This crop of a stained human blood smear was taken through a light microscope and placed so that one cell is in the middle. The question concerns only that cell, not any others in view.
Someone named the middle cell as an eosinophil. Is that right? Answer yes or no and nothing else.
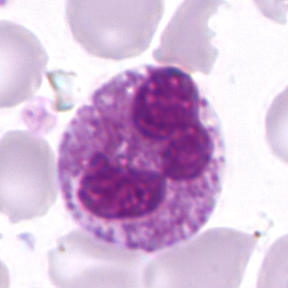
yes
